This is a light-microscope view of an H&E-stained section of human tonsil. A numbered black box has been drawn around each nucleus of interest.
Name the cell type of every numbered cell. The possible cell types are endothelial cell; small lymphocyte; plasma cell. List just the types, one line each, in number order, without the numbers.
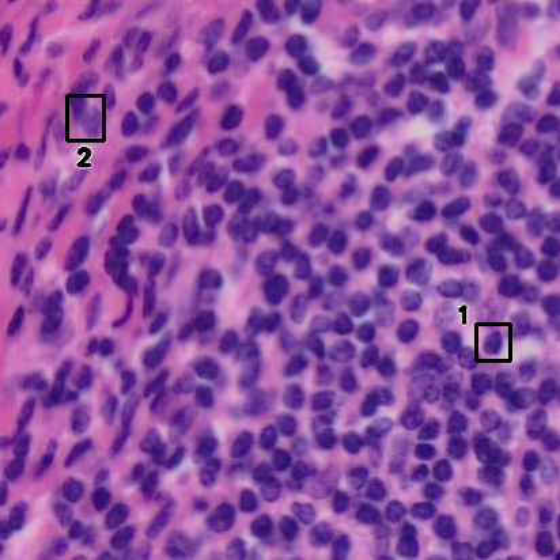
small lymphocyte
endothelial cell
